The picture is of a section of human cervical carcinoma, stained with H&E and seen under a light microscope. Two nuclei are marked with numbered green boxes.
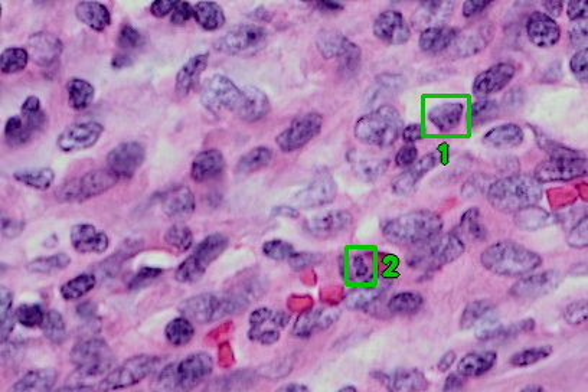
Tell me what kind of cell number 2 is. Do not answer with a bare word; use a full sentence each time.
The cell with the number 2 is an endothelial cell.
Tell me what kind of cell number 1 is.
The cell given label 1 is a lymphocyte.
